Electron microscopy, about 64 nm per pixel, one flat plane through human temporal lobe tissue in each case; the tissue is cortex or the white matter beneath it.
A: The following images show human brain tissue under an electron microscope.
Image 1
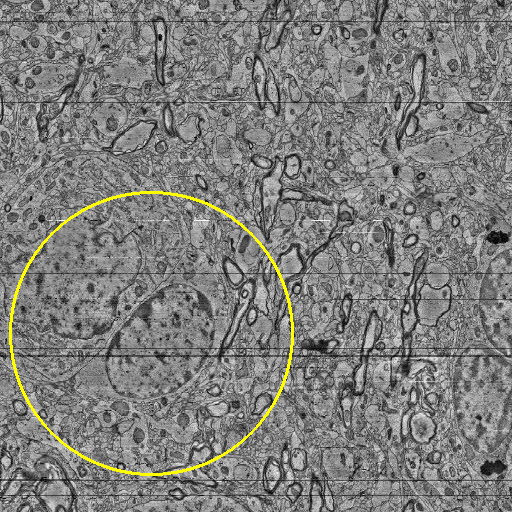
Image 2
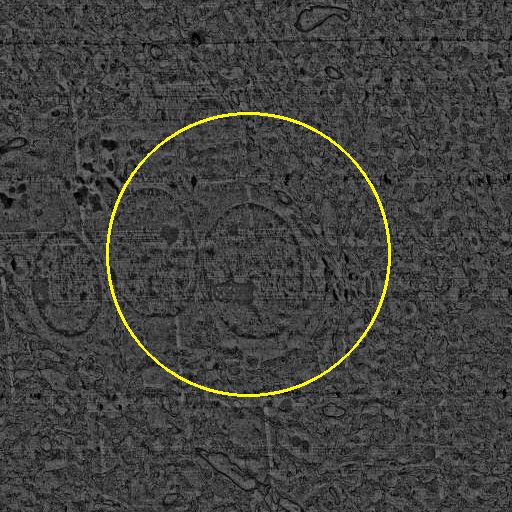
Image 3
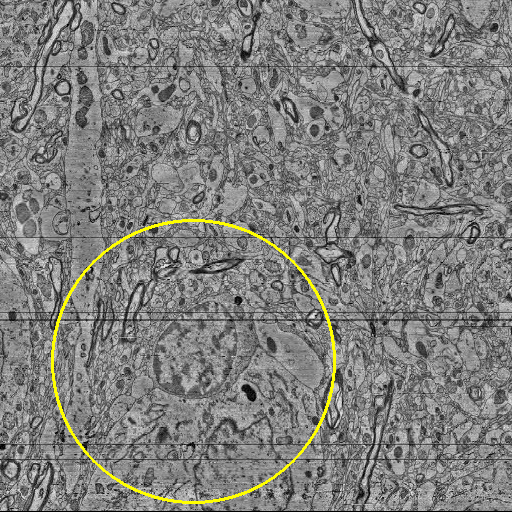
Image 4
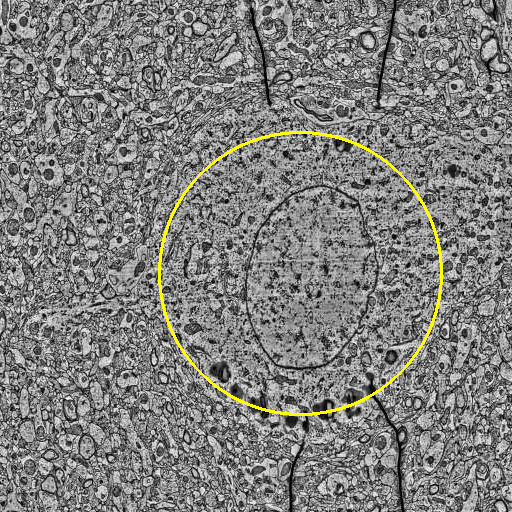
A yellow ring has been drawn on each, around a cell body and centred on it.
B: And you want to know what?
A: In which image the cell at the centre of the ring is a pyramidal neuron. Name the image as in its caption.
Image 4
